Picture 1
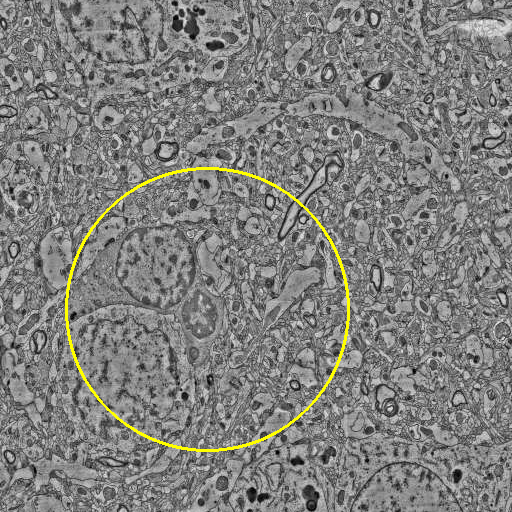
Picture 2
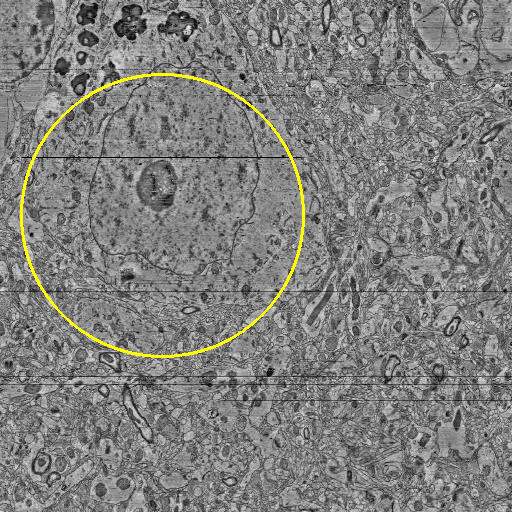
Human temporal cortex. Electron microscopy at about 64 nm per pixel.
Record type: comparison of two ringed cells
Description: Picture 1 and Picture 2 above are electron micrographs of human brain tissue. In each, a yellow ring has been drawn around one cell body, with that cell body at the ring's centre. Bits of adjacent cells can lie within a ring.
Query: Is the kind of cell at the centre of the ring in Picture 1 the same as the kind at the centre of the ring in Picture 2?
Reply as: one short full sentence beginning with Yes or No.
No, the two ringed cells are of two separate kinds.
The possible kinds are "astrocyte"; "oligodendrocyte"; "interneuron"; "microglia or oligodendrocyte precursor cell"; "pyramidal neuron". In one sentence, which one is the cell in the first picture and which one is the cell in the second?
The cell ringed in the second picture is a pyramidal neuron, whereas the one ringed in the first is an oligodendrocyte.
